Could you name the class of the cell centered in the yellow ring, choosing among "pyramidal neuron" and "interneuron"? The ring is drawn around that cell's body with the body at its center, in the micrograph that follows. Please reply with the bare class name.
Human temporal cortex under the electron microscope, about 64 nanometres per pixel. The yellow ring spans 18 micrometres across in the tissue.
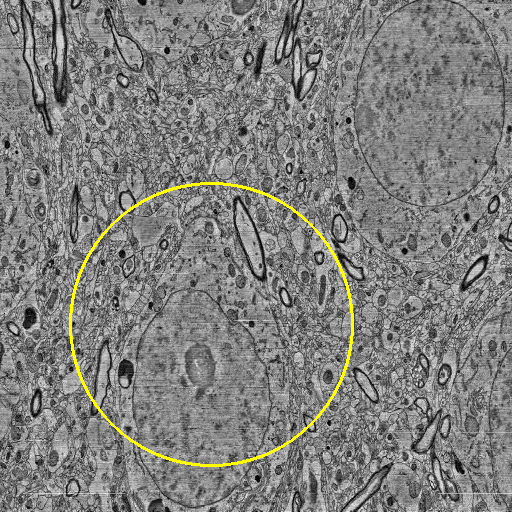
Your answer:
pyramidal neuron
